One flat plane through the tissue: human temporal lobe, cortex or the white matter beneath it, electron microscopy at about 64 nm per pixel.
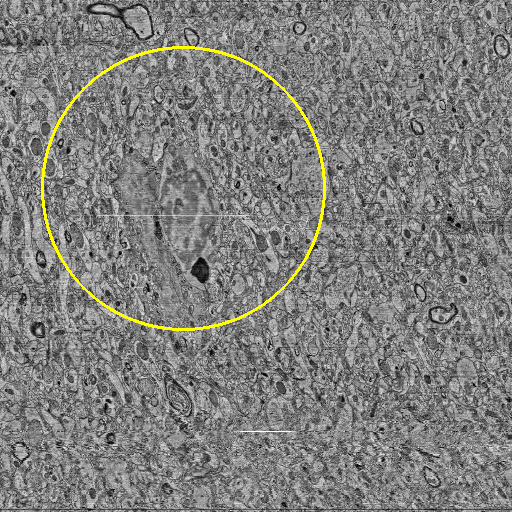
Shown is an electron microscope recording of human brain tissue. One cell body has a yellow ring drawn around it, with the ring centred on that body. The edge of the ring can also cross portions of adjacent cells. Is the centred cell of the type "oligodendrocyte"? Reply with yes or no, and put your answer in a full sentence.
Yes, in the picture, the cell on which the ring is centred has this type.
